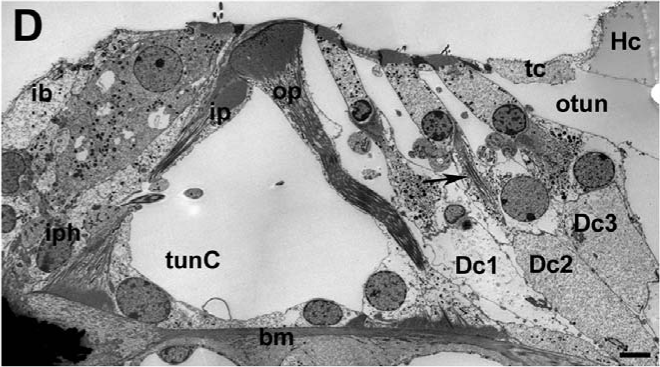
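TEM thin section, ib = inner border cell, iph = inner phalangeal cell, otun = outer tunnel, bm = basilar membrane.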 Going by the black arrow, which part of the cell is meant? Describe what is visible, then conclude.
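The arrow points to a dense, fibrous, elongated strand running lengthwise within a slender supporting cell. The strand is darker and more finely striated than the surrounding cytoplasm. So: microtubule bundle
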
